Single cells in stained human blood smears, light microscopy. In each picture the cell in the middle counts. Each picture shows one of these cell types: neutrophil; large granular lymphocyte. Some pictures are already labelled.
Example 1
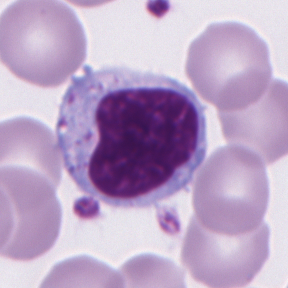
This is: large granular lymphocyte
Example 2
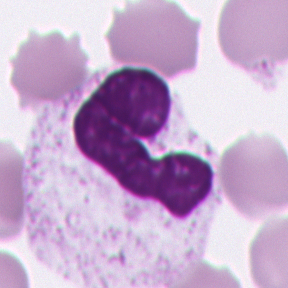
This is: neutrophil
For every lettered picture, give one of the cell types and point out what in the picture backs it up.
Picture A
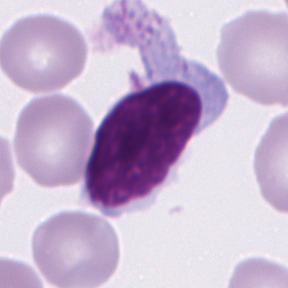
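large granular lymphocyte. Reason: The cytoplasm is scant and pale blue.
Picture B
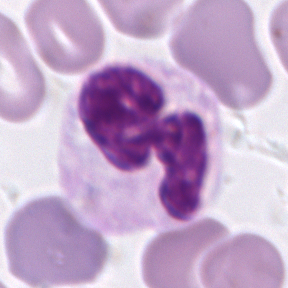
neutrophil. Reason: The cytoplasm is plentiful and pale pinkish-lilac.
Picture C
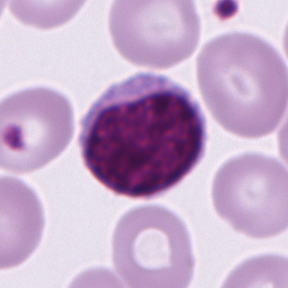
large granular lymphocyte. Reason: The cytoplasm forms a thin crescent mainly above the nucleus.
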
